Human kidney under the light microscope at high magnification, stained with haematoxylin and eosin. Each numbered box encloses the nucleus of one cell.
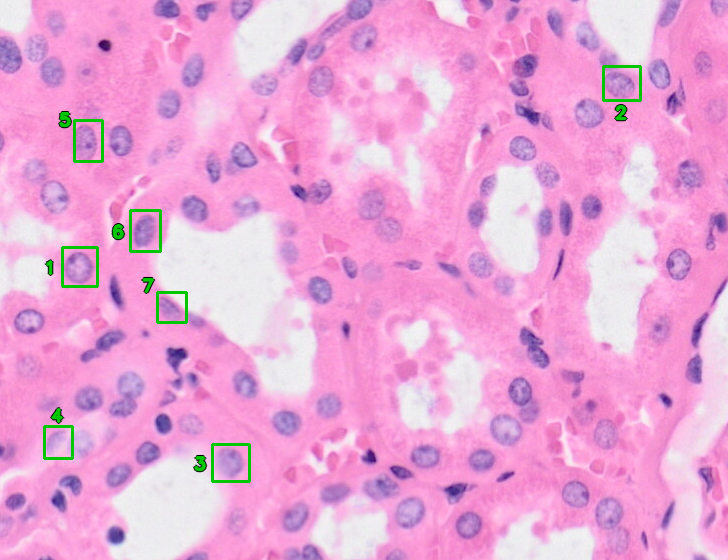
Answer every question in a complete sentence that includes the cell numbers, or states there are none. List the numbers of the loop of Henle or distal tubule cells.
The cells the numbers 3, 6 and 7 point to are loop of Henle or distal tubule cells.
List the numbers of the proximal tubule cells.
In terms of cell type, cells 1 and 5 are proximal tubule cells.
